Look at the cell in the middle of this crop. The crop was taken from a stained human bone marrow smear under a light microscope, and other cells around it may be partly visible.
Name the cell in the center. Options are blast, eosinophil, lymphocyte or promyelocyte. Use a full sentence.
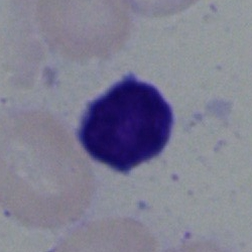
The middle of this crop is occupied by a lymphocyte.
